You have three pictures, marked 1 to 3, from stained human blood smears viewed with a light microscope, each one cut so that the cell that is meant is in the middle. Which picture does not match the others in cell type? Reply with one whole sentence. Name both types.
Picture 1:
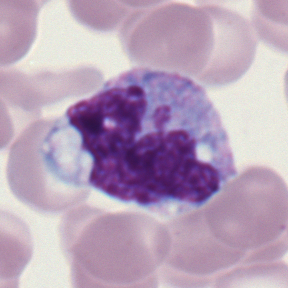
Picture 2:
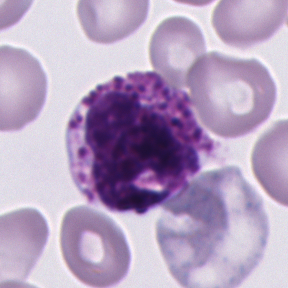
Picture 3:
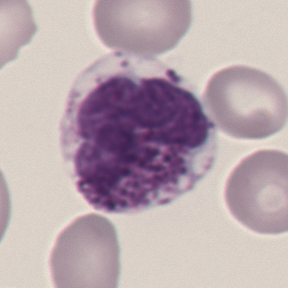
Picture 1 is the odd one out: it shows a monocyte, while the others show basophils.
